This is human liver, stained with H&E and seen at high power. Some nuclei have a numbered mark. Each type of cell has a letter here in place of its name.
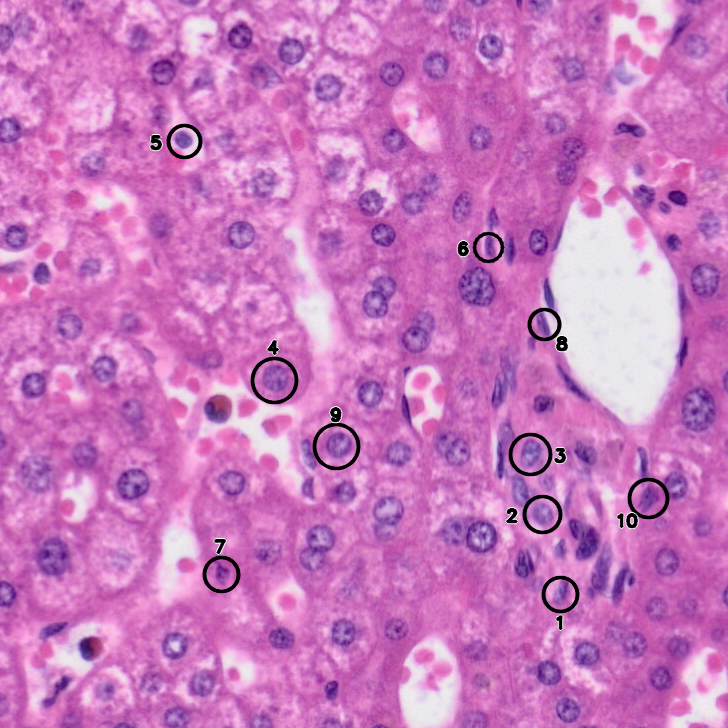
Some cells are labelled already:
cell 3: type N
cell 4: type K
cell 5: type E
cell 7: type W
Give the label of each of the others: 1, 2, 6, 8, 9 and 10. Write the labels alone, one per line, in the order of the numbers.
type W
type N
type W
type W
type K
type W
